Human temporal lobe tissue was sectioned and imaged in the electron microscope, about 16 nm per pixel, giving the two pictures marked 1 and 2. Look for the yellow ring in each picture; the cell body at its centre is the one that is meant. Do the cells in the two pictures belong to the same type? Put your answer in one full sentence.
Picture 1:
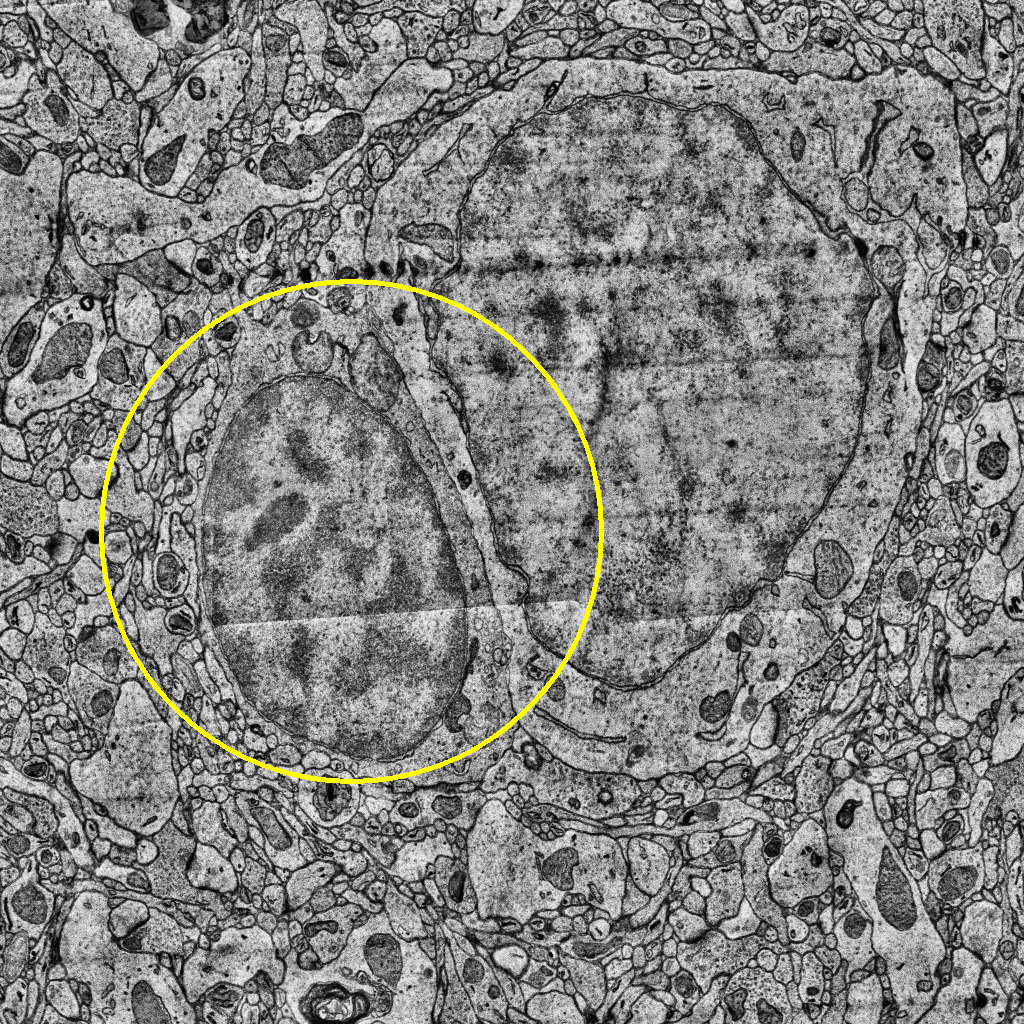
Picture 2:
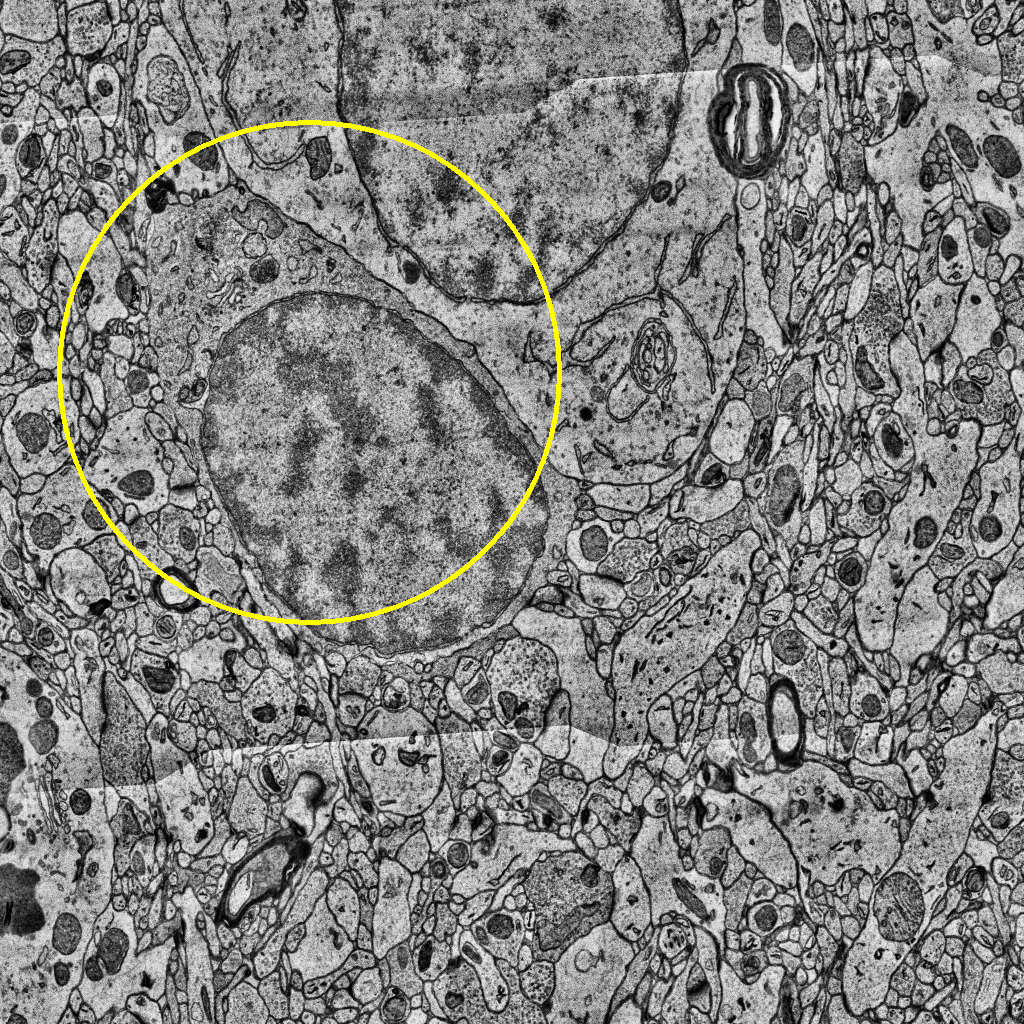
Yes, both are oligodendrocytes.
